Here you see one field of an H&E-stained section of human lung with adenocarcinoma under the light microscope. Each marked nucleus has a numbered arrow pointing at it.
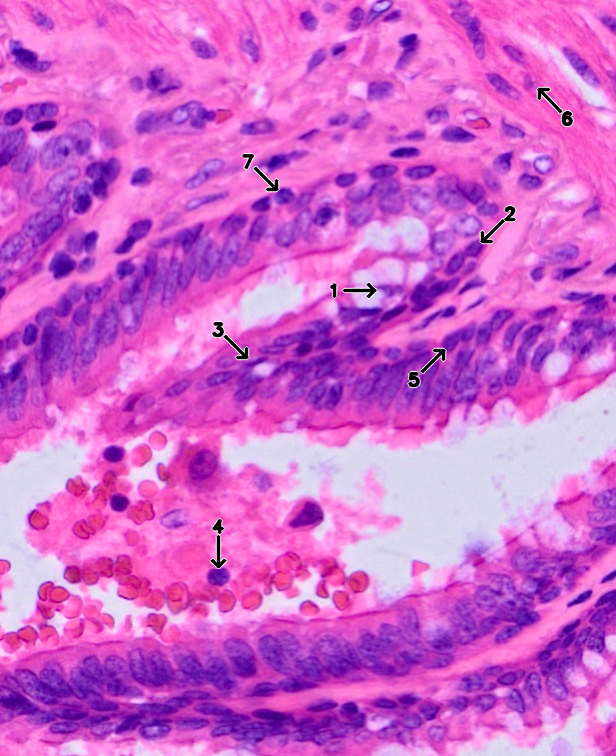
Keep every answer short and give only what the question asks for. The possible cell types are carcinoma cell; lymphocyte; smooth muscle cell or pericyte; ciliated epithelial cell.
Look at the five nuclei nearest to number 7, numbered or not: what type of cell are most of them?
ciliated epithelial cell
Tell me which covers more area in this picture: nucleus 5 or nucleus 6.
5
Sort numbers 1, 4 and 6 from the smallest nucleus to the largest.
6, 1, 4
